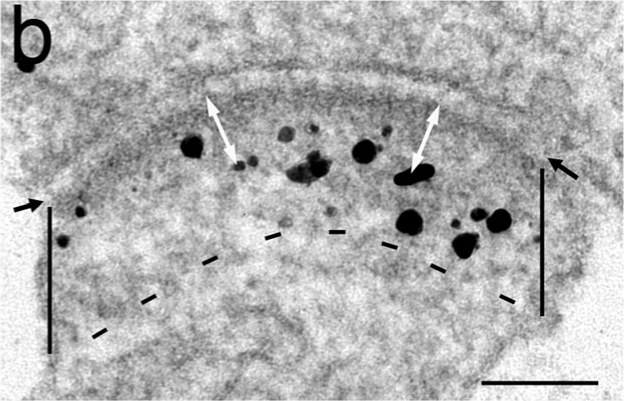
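This electron micrograph shows a synapse in section, with the postsynaptic membrane forming a curved arc near the top of the field. Directly beneath the membrane lies a thick, dark, fuzzy band of dense material. Dense black round particles of several sizes cluster in and just below this dark band. The cytoplasm deeper below is paler and contains fewer particles. Above the membrane a second, paler compartment lies against it.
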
